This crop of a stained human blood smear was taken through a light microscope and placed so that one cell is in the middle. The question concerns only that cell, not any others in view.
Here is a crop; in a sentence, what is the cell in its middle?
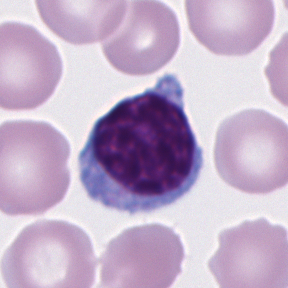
Answering briefly, the cell in the middle is a lymphocyte.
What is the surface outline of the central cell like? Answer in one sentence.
Irregular and not smooth, the cell boundary is ragged or drawn out into projections.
